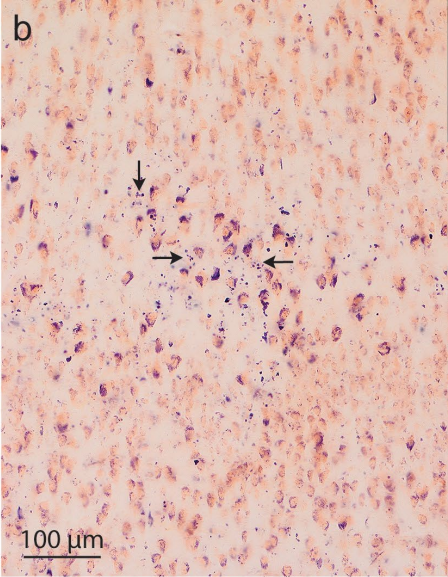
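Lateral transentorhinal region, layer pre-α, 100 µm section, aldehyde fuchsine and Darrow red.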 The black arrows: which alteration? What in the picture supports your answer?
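The arrows point to small purple granules scattered in the pale space between cell bodies. The granules lie outside the red-stained neuronal cell bodies. The answer: extraneuronal accumulations of neuronal lipofuscin remnants.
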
